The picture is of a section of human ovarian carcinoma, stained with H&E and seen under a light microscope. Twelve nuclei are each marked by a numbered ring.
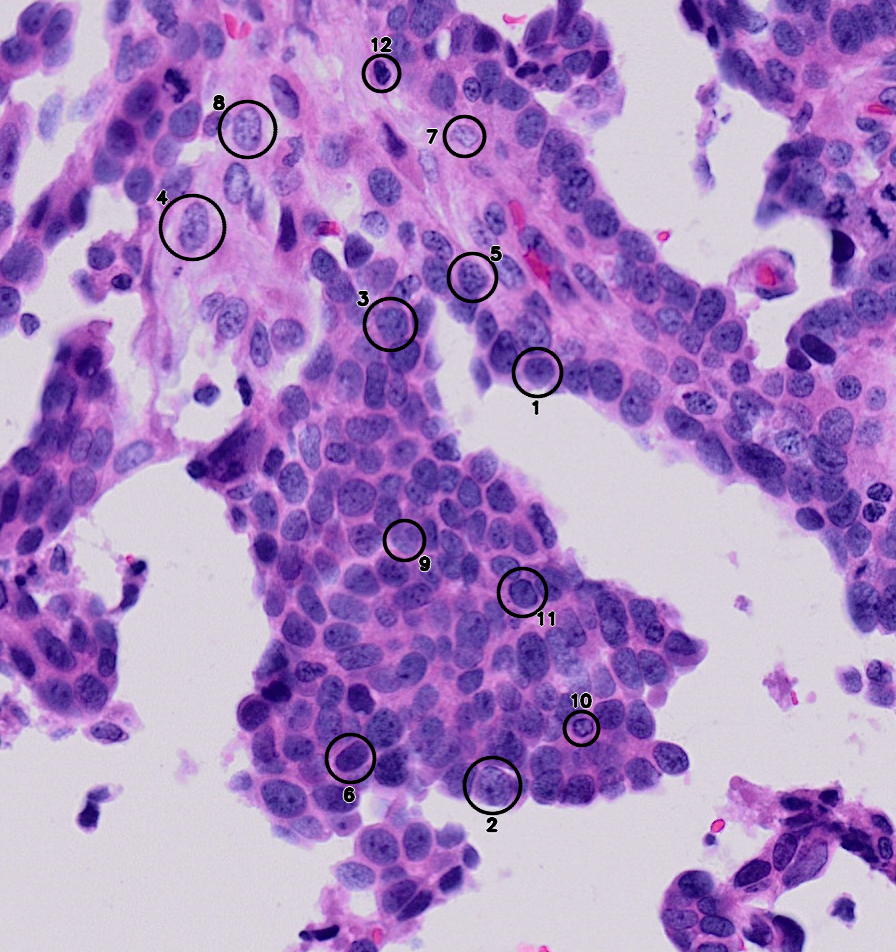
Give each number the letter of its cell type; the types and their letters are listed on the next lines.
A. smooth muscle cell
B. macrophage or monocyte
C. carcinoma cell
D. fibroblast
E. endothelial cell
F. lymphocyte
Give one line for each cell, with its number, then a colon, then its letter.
1: C
2: C
3: C
4: D
5: C
6: C
7: D
8: D
9: C
10: B
11: C
12: F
